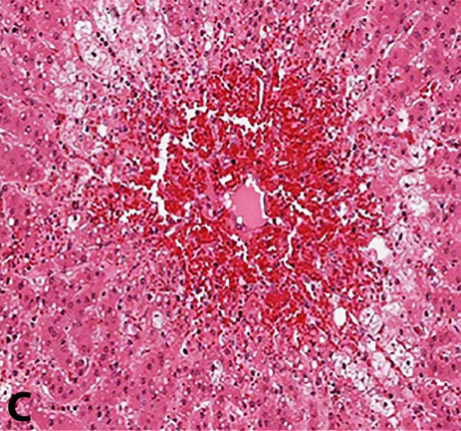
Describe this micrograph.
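This is liver tissue at low power centred on a central vein with congestion and hemorrhage around it. The vein lumen in the middle appears pale pink. A broad ring of bright red blood cells fills the surrounding zone, spreading between and in place of the hepatocyte plates. Toward the edges, hepatocytes with pink cytoplasm and dark round nuclei are preserved in cords. Some hepatocytes at the periphery look pale and vacuolated.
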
